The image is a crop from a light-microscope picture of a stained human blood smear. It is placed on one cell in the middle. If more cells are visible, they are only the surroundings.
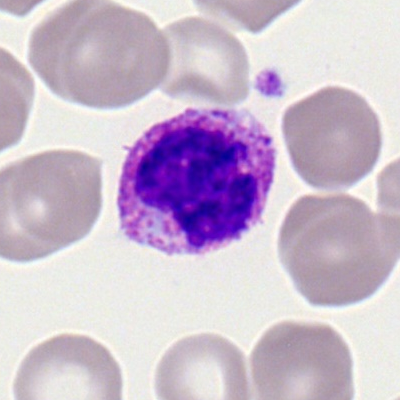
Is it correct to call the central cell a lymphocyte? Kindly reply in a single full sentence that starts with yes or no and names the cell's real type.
No; rather than a lymphocyte, the cell at the center is a basophil.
